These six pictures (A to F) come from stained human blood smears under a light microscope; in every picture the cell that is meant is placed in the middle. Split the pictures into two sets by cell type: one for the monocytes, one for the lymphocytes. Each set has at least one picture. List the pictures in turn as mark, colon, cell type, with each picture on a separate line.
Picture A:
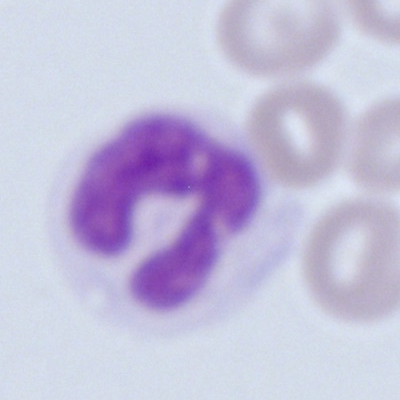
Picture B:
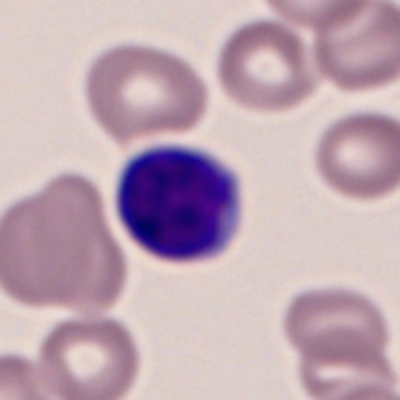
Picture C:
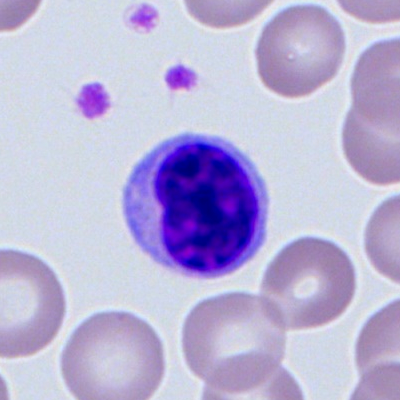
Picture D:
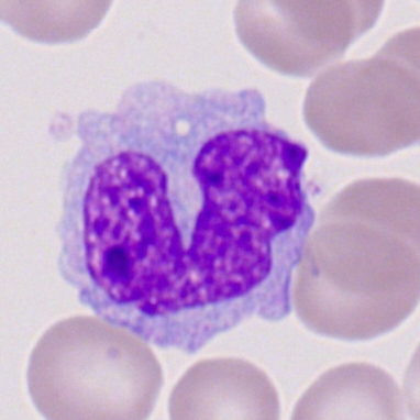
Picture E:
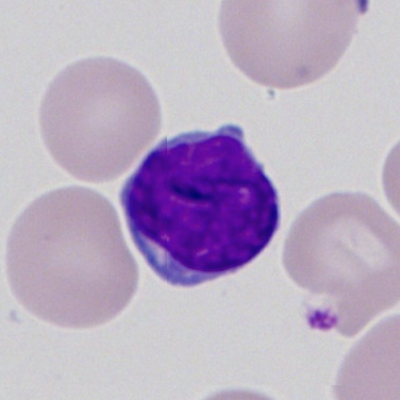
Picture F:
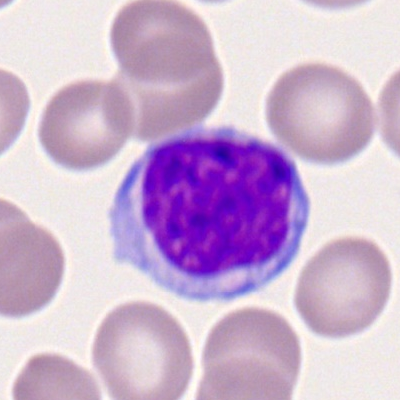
A: monocyte
B: lymphocyte
C: lymphocyte
D: monocyte
E: lymphocyte
F: lymphocyte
